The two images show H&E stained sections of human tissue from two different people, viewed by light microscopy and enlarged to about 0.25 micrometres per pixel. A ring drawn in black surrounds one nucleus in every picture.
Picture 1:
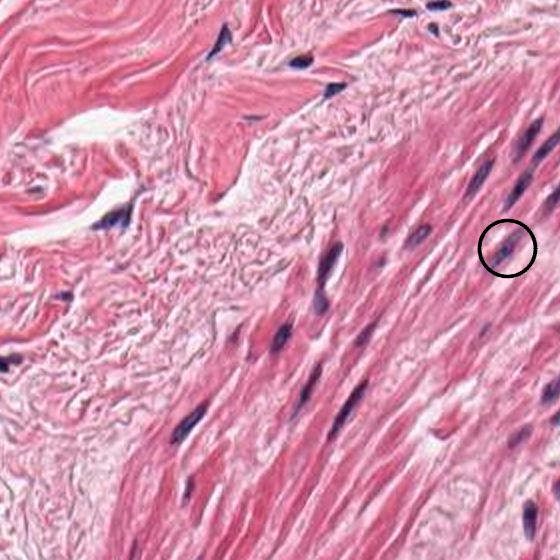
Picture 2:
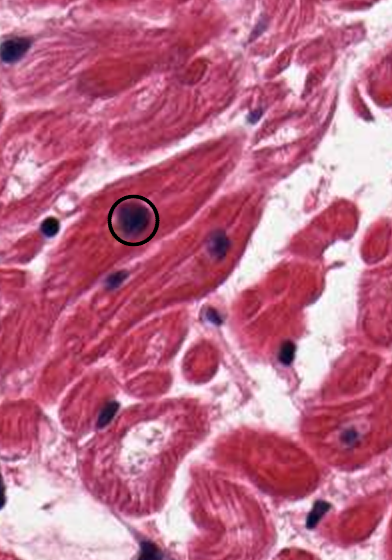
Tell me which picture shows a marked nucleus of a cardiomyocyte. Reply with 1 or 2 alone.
2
